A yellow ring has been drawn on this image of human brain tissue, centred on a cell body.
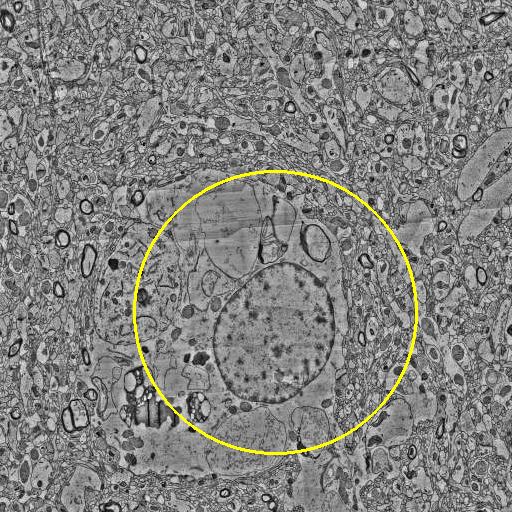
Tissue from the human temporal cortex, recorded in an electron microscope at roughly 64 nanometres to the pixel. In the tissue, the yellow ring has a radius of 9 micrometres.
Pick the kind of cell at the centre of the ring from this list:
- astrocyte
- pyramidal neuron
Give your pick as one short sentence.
The centre of the ring holds an astrocyte.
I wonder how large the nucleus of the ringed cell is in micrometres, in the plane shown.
In this plane the nucleus spans approximately 9 by 8 micrometers.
